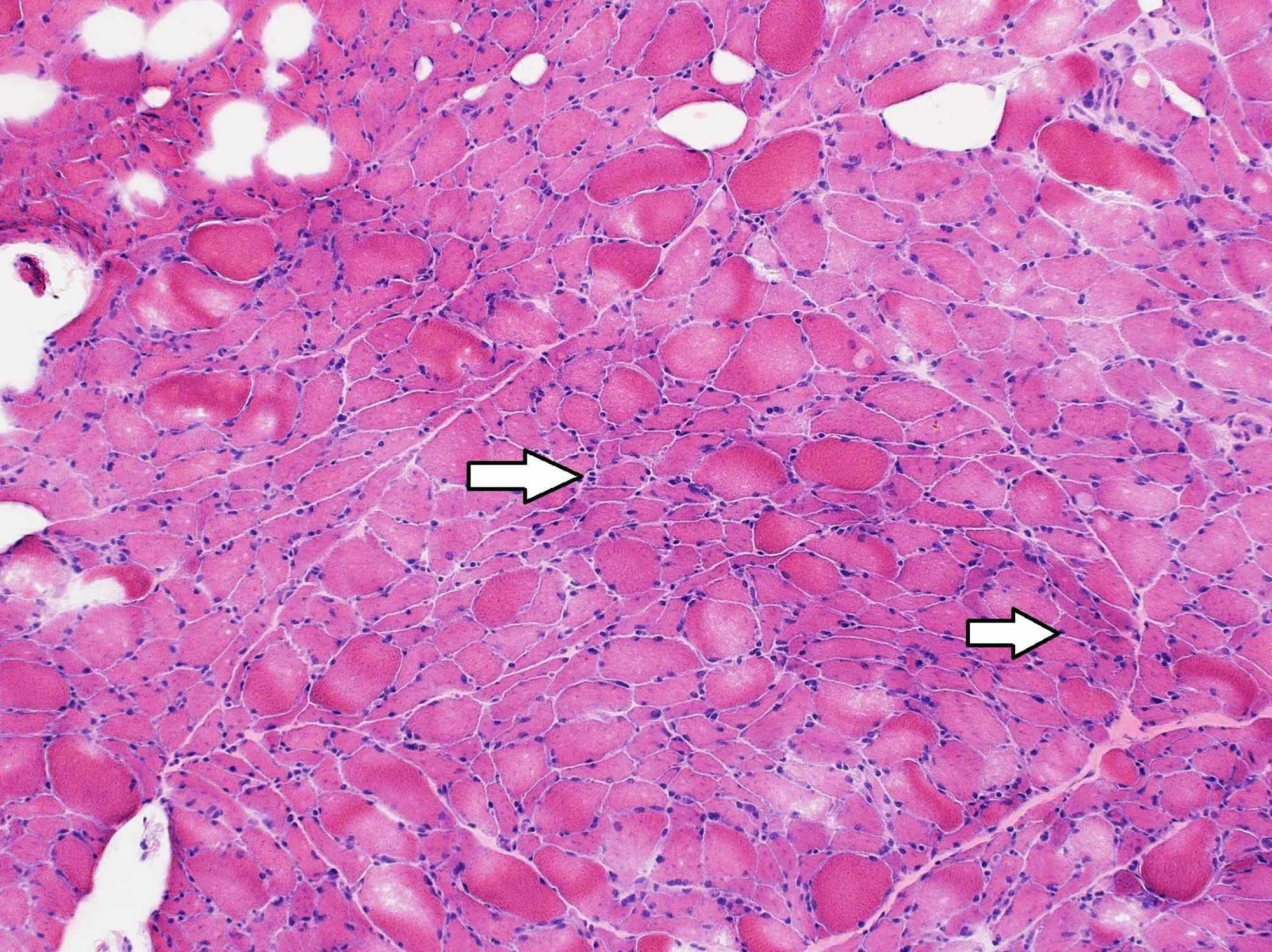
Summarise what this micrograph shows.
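Skeletal muscle in cross-section with marked variation in fiber size. Many fibers are small and angular, with compressed polygonal outlines, and lie grouped among larger rounded fibers. The larger fibers stain a deeper pink than the small ones. Dark purple nuclei sit at the edges of the fibers; they appear crowded where the small fibers are grouped. Thin pale connective tissue septa run between fascicles. Clear round fat cells appear at the upper left and along the margins. No clusters of inflammatory cells are seen between the fibers or around the vessels.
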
